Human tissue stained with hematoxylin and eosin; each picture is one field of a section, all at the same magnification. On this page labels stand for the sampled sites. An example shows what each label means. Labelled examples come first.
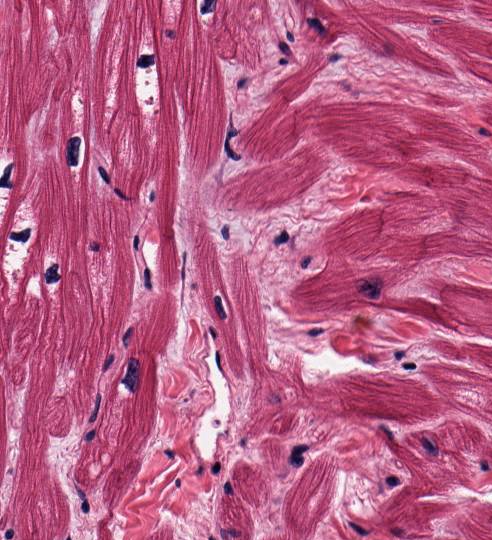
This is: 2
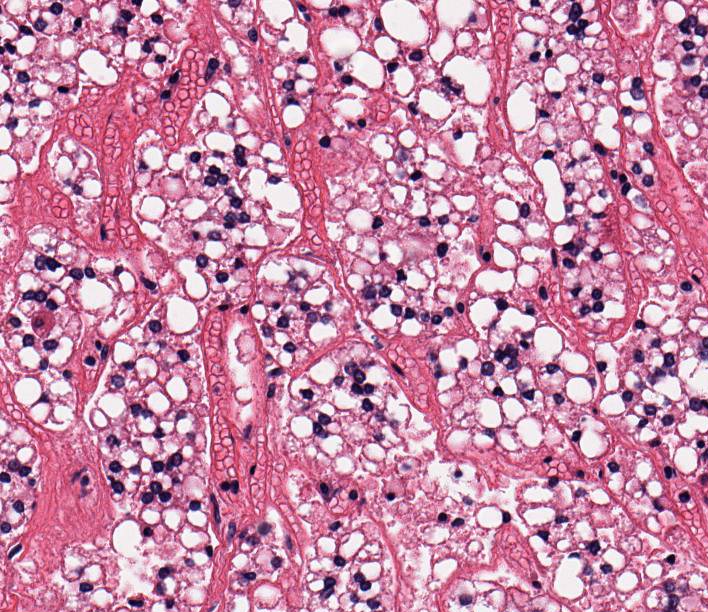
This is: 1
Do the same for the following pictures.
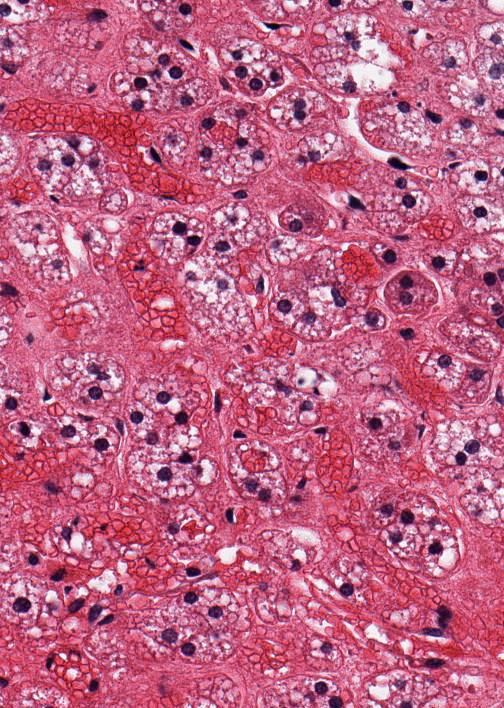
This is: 1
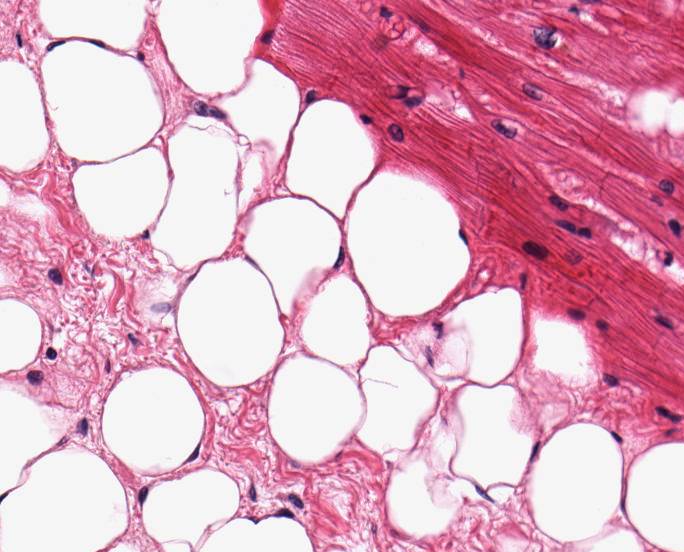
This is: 2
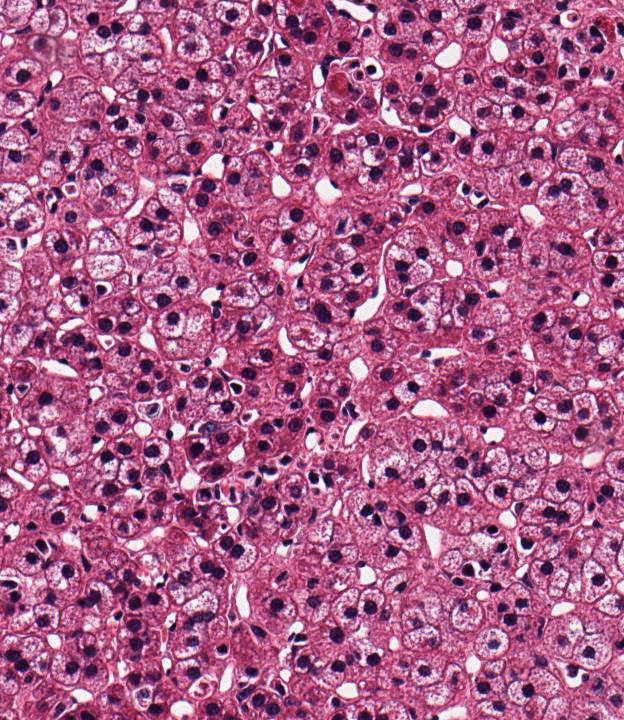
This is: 1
